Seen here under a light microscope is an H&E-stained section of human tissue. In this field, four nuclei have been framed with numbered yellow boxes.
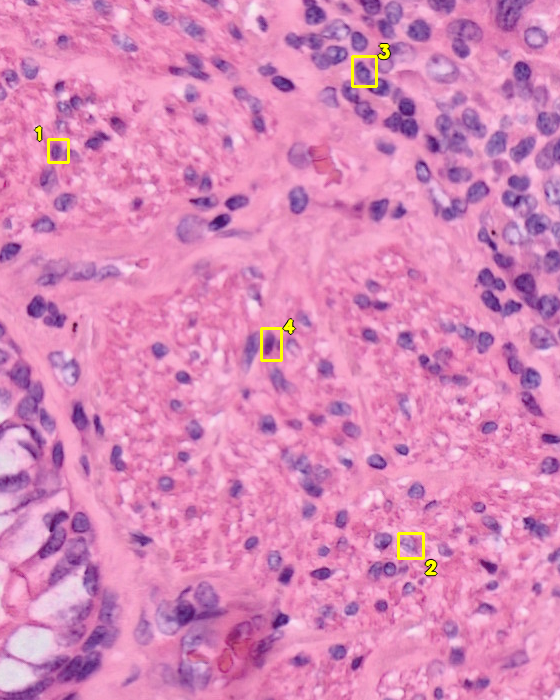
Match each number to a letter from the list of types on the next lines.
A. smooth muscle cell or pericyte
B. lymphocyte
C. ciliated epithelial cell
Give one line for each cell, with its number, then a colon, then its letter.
1: A
2: A
3: B
4: A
